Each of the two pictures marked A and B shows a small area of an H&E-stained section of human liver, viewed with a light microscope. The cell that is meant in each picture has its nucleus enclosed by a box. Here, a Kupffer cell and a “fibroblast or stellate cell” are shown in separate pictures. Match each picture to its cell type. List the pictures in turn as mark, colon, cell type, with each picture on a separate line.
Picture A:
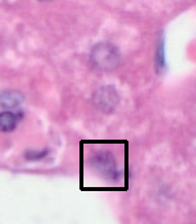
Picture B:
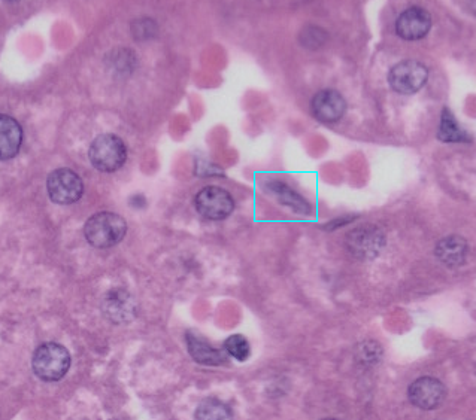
A: fibroblast or stellate cell
B: Kupffer cell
